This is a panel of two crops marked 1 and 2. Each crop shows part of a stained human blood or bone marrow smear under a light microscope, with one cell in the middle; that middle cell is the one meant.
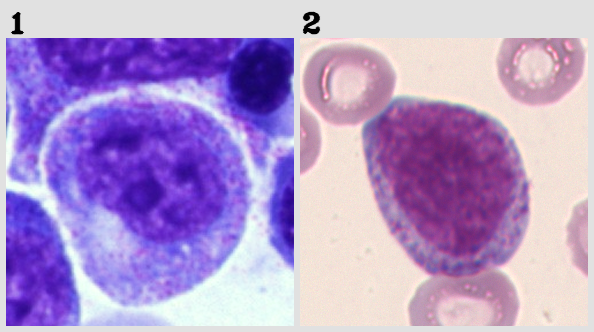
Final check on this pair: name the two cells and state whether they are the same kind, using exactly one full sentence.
Yes, both crops in this set show promyelocytes.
